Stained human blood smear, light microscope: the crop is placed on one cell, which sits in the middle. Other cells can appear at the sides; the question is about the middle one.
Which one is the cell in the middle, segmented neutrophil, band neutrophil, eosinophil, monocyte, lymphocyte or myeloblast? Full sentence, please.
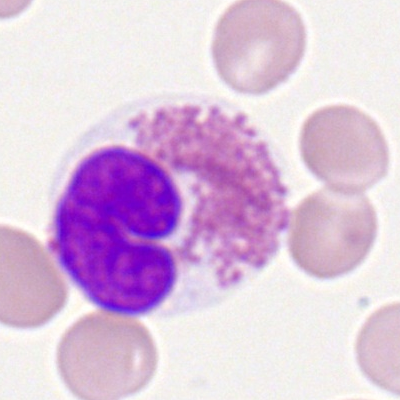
In the middle of this smear crop is an eosinophil.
